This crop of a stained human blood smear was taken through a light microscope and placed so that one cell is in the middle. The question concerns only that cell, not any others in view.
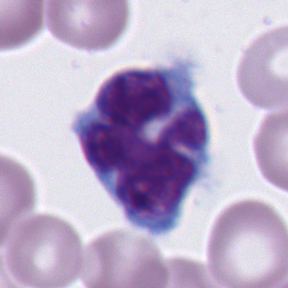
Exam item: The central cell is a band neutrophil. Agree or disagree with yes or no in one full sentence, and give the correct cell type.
No, the central cell is not to be called a band neutrophil, being a monocyte.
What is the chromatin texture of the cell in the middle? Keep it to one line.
You can see that its chromatin is coarsely clumped.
